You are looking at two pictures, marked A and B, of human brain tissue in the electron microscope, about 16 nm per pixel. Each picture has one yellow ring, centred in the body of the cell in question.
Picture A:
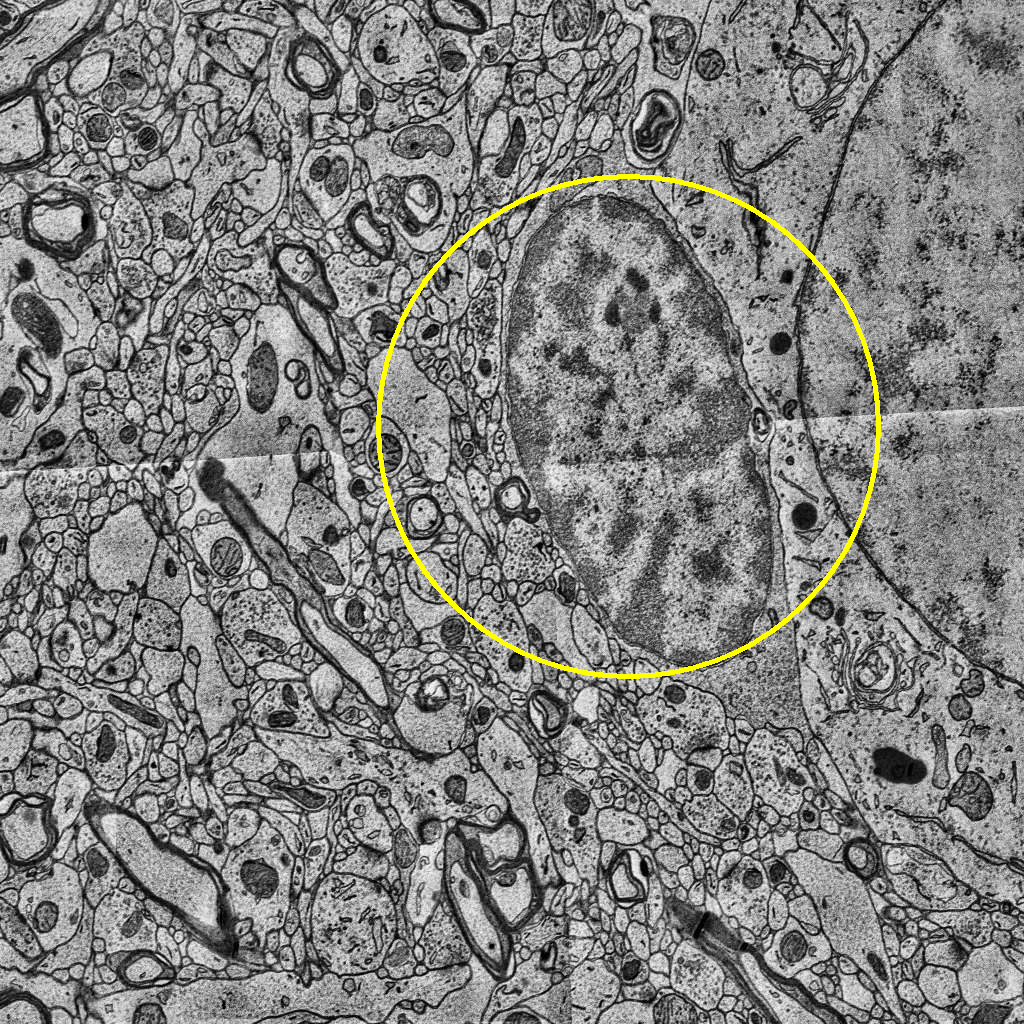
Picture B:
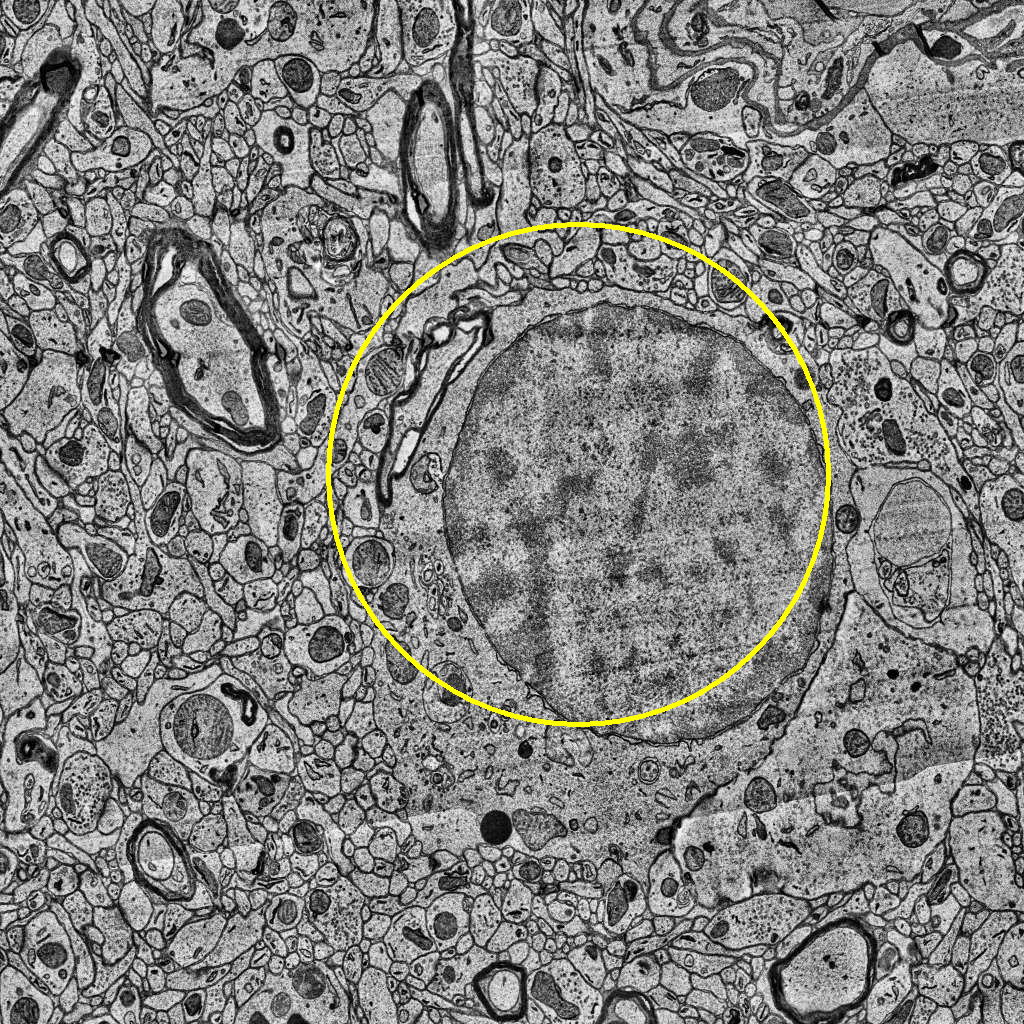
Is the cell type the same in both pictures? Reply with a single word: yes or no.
yes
